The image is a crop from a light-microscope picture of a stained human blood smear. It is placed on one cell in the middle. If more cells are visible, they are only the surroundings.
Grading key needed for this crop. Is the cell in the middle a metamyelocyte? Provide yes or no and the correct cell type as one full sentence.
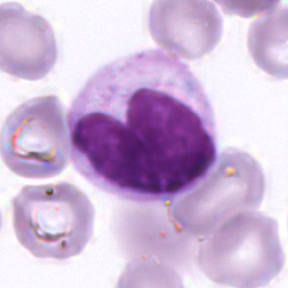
No, the cell in the centre is to be called a band neutrophil instead of a metamyelocyte.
